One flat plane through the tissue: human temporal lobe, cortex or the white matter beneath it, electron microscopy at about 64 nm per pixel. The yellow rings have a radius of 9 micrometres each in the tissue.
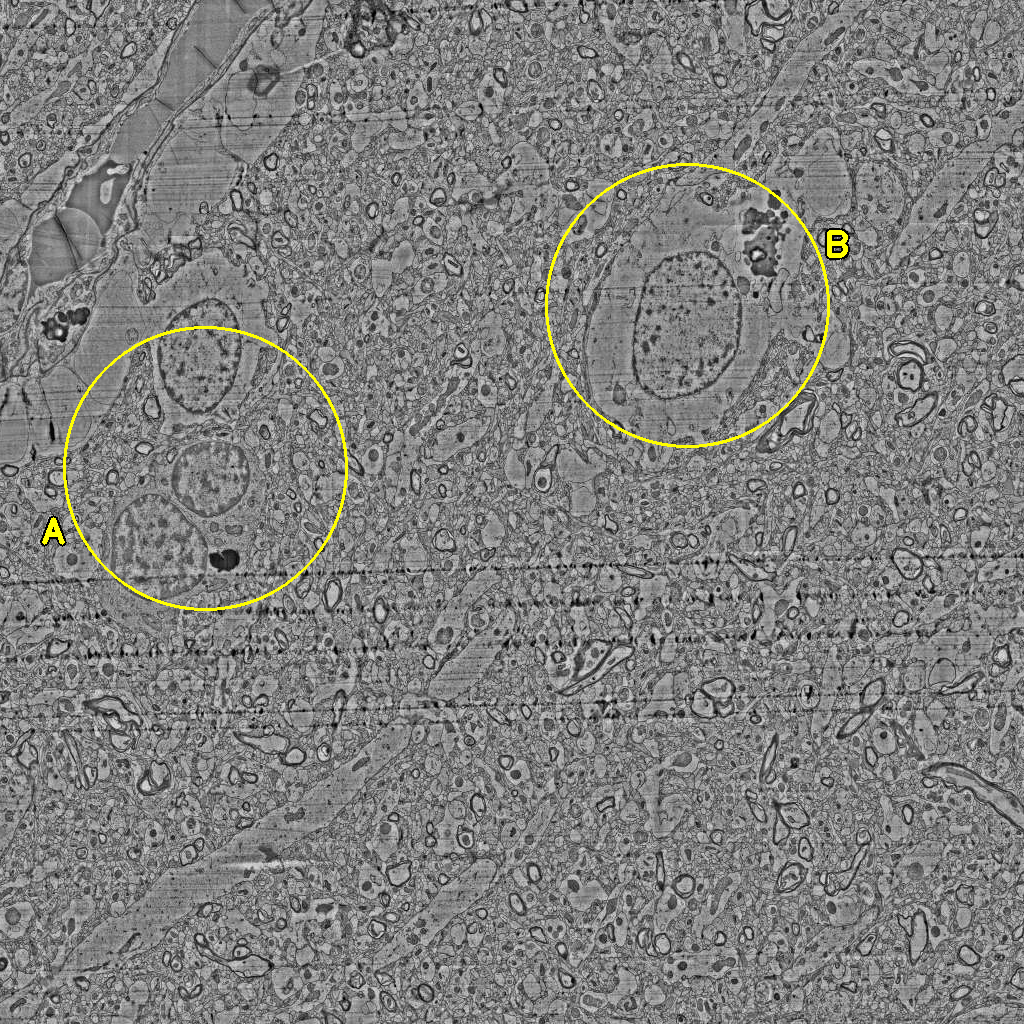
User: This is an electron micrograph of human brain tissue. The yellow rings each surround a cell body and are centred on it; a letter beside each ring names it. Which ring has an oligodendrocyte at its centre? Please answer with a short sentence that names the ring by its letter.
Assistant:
Ring A has it at its centre.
